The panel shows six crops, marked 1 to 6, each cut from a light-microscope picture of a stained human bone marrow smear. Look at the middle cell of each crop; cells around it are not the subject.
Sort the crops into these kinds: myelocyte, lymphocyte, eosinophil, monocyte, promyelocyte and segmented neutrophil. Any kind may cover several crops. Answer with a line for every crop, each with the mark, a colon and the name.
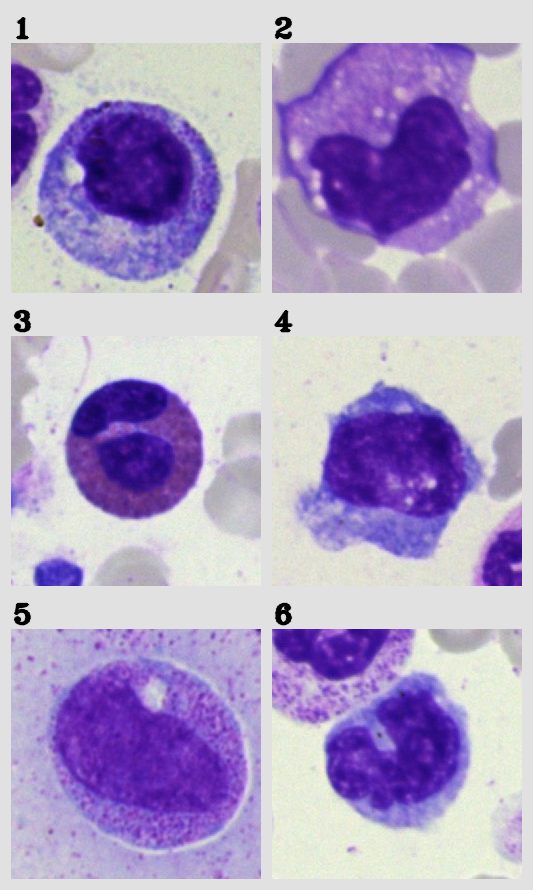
1: myelocyte
2: monocyte
3: eosinophil
4: monocyte
5: promyelocyte
6: monocyte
